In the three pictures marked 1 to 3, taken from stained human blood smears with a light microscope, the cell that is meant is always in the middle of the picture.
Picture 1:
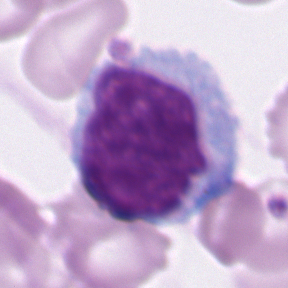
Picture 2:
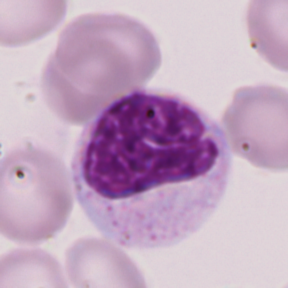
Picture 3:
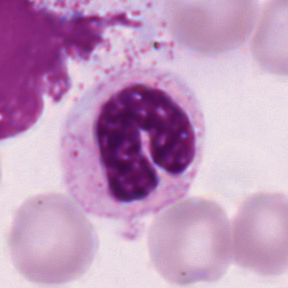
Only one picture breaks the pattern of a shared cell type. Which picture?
1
